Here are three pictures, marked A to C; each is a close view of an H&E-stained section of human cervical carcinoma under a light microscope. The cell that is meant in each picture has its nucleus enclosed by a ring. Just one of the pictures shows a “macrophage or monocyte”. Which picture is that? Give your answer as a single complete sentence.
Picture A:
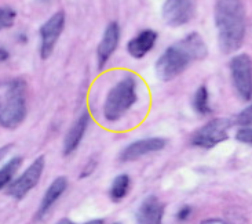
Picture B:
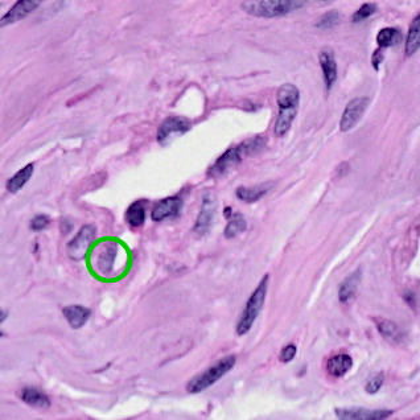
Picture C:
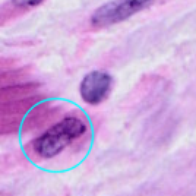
The picture with the “macrophage or monocyte” is C.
